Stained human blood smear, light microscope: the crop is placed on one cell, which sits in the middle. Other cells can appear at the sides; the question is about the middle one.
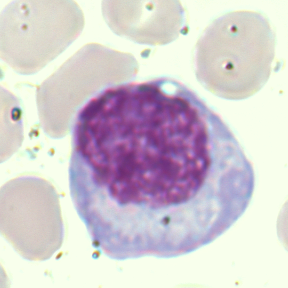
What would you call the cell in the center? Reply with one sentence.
The cell at the centre of the field is a plasma cell.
